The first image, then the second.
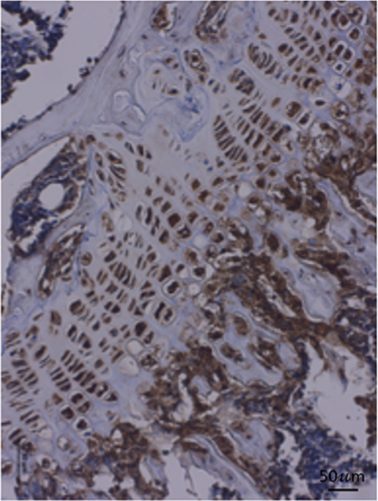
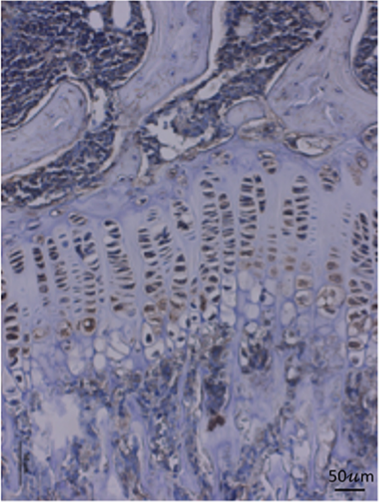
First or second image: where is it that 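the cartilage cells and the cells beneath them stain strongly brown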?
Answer: The first image.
